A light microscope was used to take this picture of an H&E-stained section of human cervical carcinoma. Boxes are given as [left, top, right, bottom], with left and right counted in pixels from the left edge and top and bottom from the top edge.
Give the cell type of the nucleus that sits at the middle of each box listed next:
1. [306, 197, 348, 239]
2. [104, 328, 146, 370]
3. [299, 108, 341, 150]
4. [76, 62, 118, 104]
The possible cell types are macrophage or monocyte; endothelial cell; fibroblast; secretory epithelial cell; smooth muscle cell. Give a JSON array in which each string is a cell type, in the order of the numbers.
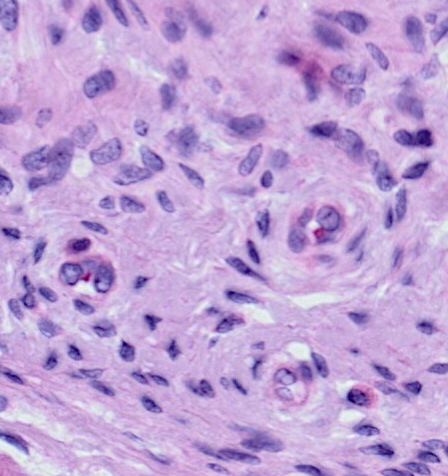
["endothelial cell", "fibroblast", "fibroblast", "fibroblast"]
